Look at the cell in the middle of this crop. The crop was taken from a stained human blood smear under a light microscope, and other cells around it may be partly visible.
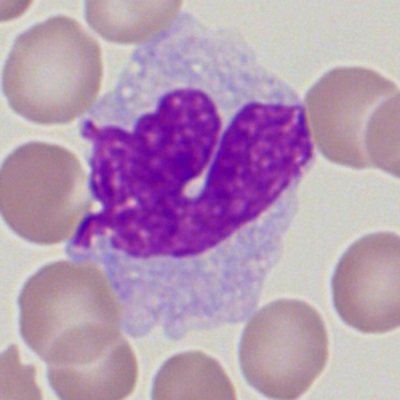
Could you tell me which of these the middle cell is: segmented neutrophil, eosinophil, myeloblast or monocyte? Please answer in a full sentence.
At the middle of the frame sits a monocyte.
